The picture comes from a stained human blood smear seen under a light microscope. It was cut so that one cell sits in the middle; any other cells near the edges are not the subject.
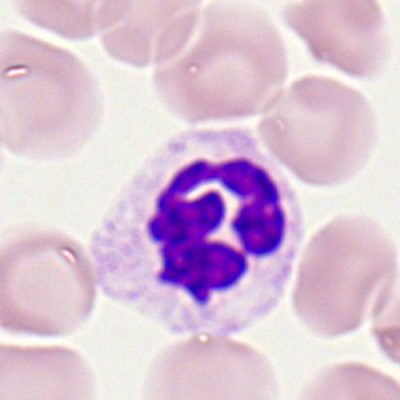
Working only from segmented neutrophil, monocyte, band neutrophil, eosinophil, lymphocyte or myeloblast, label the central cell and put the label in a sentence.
In short, the cell at the center is a segmented neutrophil.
